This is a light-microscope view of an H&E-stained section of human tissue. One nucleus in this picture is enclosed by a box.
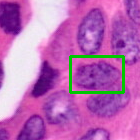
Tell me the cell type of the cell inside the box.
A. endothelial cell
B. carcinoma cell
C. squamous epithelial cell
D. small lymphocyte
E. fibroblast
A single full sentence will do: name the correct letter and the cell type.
Option B holds, since the cell inside the box is a carcinoma cell.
